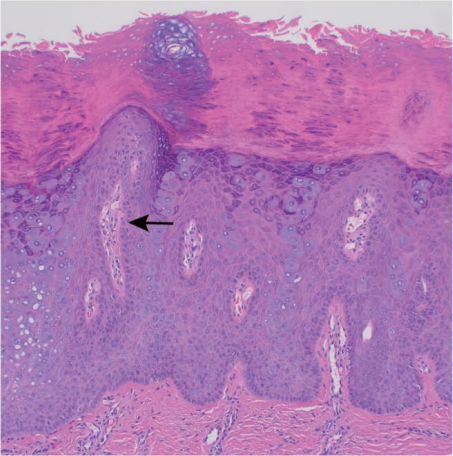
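Skin lesion with a markedly thickened epidermis in which numerous enlarged keratinocytes with pale, steel-gray to bluish cytoplasm lie in the upper spinous layers. A thick, compact pink keratin layer covers the surface, with a focus of purple material trapped within it. Rete ridges are elongated and reach down into the pink dermis, and the dermal papillae between them carry small thin-walled vessels.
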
